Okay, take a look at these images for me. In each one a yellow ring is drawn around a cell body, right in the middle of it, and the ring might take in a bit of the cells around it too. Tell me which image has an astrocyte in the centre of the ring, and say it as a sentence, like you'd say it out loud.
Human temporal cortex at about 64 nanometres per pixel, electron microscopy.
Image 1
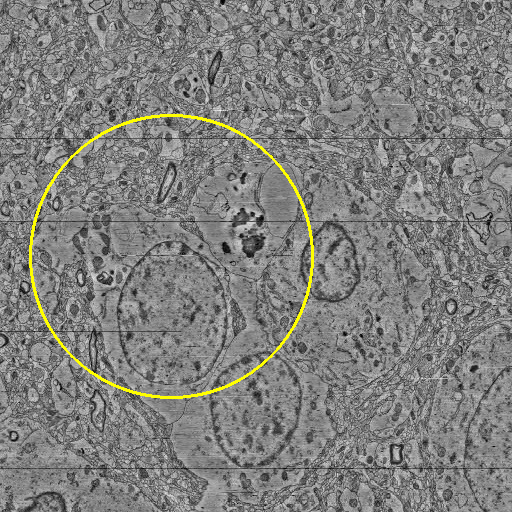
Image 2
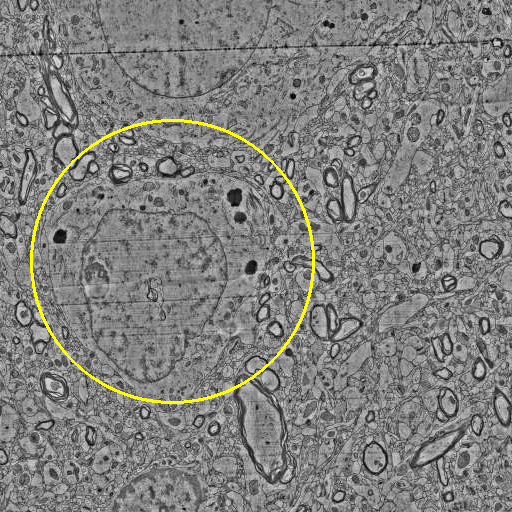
Image 1 is the one with it in the centre of the ring.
